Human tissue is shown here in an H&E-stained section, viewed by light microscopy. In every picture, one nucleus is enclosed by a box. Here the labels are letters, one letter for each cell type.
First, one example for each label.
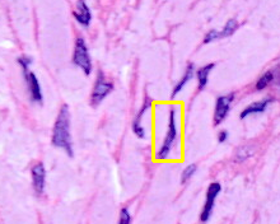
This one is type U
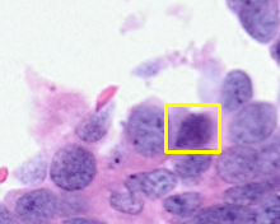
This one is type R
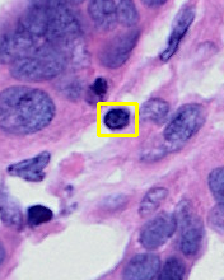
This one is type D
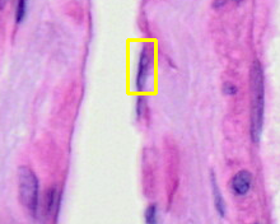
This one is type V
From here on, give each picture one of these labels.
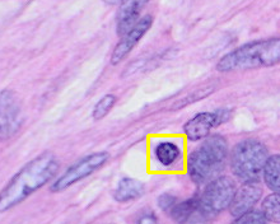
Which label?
type D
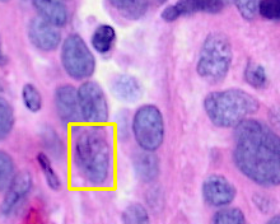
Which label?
type R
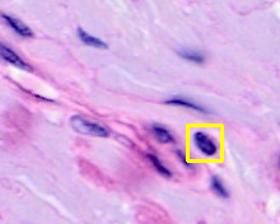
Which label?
type D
